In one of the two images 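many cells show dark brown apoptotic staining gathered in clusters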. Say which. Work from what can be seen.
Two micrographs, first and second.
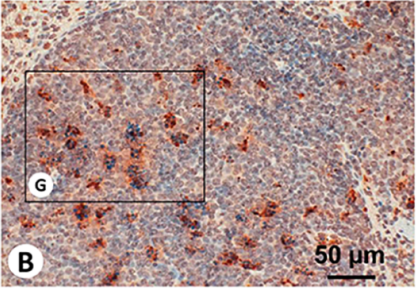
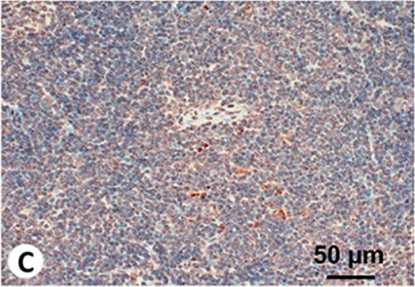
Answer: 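The first image. First image: numerous dark brown and blue-green clusters scattered through the tissue.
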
